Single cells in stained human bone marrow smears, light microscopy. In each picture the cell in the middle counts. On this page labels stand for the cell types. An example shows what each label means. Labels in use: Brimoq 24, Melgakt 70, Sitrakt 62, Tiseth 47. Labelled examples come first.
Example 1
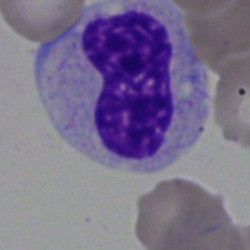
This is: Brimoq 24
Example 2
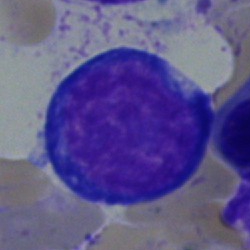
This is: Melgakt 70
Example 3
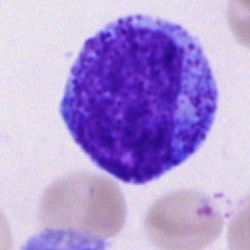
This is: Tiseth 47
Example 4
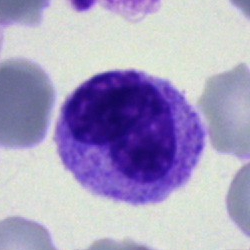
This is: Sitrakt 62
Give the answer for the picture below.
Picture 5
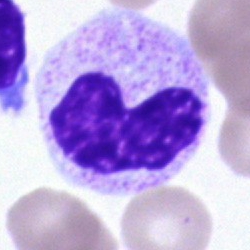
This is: Brimoq 24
